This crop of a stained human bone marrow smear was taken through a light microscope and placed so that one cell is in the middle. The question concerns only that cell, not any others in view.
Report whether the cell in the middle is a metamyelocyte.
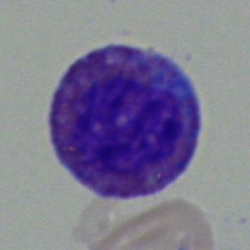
no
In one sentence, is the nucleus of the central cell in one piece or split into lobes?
There is one compact nucleus, and its shape is round, oval or kidney-like.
